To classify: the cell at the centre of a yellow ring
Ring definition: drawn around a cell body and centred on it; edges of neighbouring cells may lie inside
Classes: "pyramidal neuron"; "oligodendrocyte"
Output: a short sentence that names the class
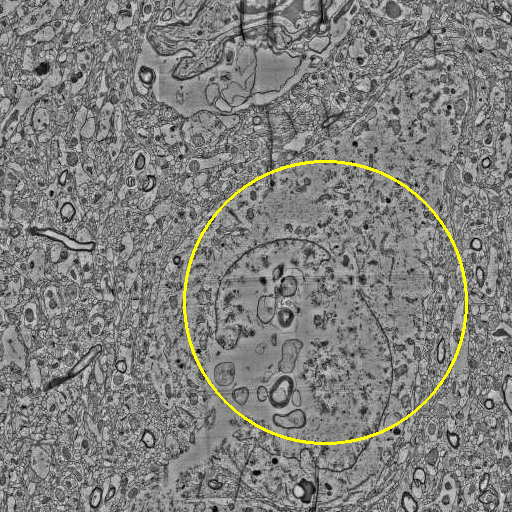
The ringed cell is a pyramidal neuron.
